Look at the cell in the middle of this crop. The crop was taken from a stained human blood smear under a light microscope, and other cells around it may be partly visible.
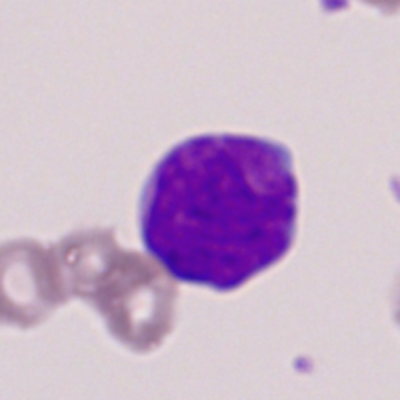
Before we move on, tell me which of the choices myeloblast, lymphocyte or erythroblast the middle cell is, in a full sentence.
This crop is built around a myeloblast at its centre.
